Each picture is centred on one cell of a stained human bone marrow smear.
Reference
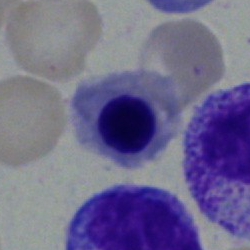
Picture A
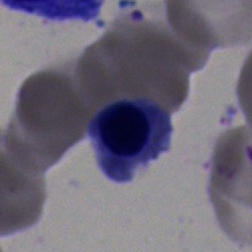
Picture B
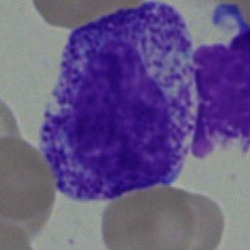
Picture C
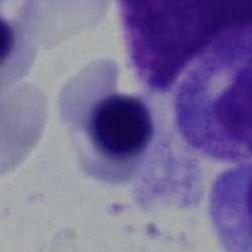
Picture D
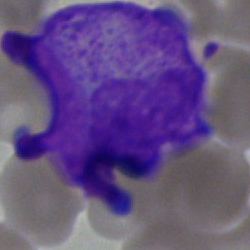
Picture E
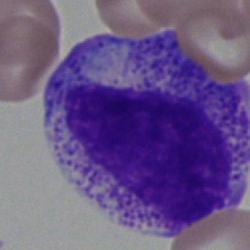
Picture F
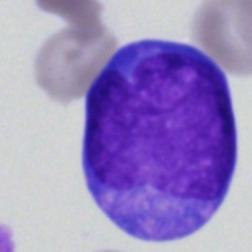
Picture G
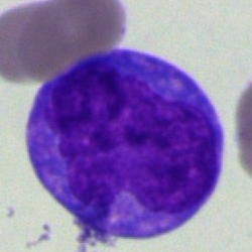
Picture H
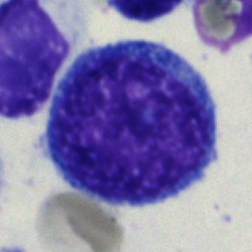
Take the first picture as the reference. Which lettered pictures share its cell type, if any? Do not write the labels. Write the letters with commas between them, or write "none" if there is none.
A, C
